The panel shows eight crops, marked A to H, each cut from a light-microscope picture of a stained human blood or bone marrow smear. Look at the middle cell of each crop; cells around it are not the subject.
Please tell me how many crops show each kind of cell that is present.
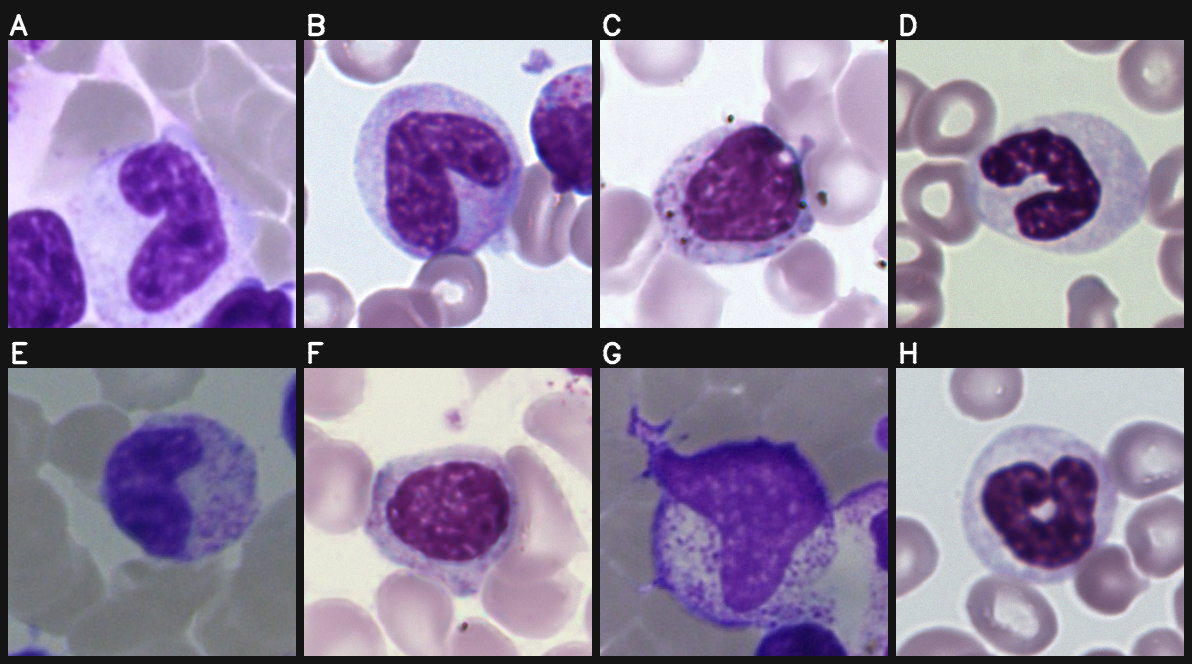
band neutrophil: 4
metamyelocyte: 4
